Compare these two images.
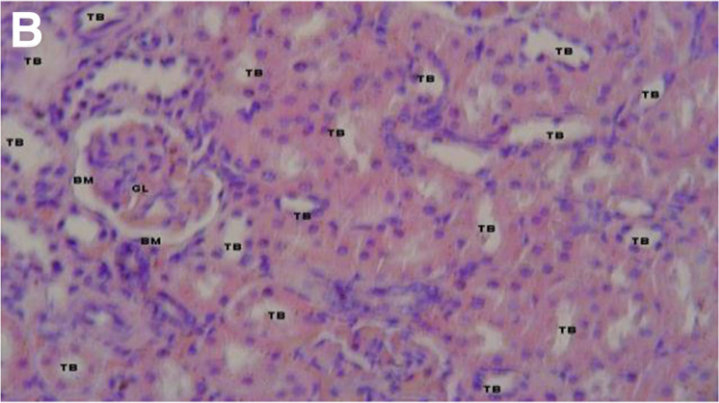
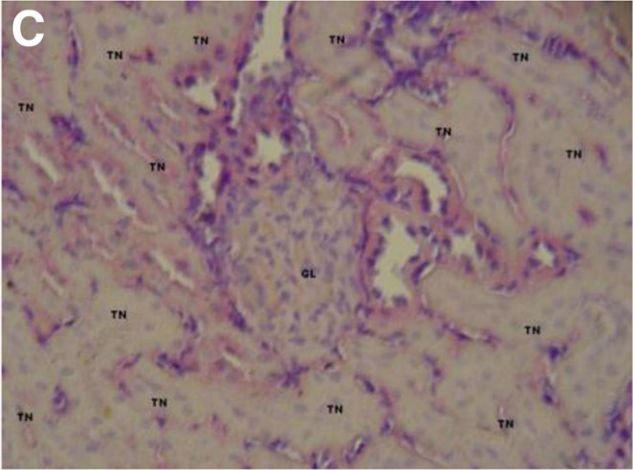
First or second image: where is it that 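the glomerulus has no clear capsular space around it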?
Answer: The second image.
